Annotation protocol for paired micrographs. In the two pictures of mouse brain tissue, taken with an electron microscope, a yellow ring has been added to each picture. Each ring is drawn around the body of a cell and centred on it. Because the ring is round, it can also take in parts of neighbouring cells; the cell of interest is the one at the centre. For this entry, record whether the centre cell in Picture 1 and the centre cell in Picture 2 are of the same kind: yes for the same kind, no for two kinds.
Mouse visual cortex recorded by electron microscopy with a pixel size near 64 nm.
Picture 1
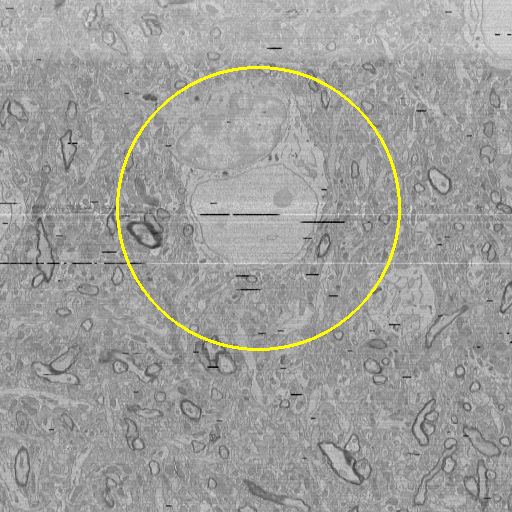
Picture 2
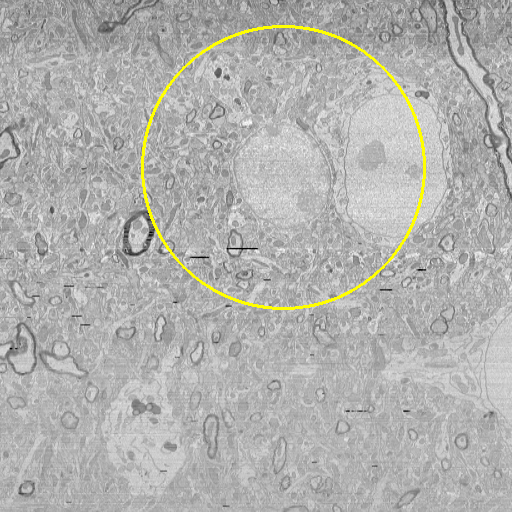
no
